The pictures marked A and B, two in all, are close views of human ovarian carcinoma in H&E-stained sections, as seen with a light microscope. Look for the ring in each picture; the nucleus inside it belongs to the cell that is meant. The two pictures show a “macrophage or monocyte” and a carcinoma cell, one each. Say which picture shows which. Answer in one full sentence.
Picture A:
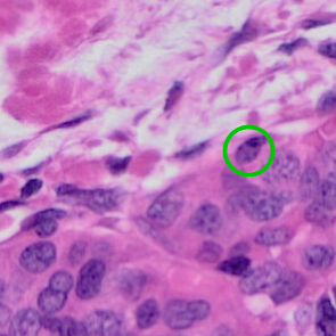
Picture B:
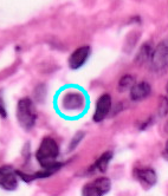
Picture B shows a carcinoma cell, while picture A shows a “macrophage or monocyte”.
